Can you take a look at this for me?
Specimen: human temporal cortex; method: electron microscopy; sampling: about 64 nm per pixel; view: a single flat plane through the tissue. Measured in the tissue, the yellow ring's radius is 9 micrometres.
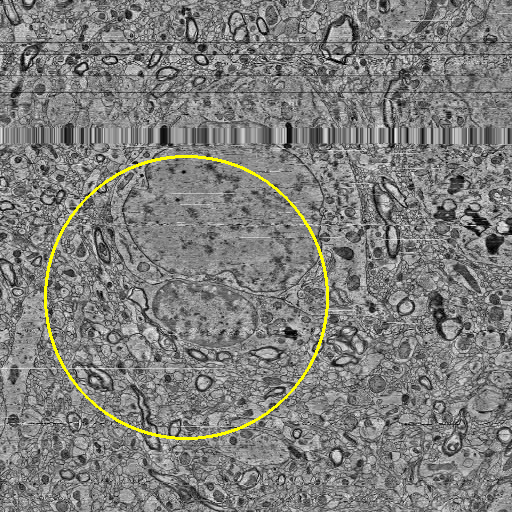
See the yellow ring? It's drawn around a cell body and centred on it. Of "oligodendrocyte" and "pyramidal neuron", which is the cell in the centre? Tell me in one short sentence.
The one in the centre is an oligodendrocyte.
